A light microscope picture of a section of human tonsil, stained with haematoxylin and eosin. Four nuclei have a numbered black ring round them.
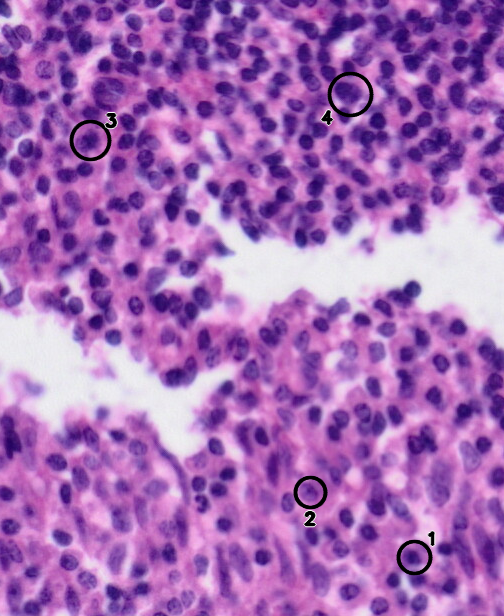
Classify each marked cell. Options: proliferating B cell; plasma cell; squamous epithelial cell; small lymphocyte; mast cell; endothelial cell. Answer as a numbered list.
1. plasma cell
2. plasma cell
3. plasma cell
4. proliferating B cell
